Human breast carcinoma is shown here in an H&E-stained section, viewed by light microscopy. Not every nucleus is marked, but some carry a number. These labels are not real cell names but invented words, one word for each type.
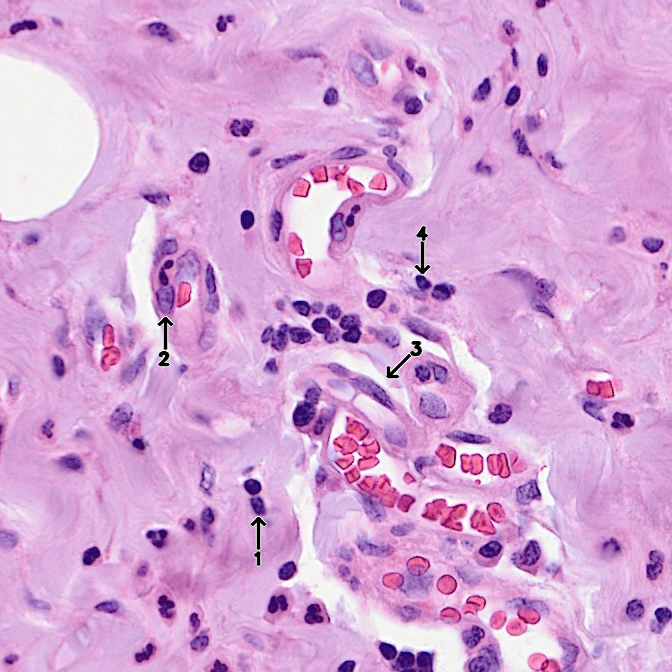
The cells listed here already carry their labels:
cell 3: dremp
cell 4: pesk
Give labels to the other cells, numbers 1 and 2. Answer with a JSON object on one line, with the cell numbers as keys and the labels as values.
{"1": "pesk", "2": "dremp"}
